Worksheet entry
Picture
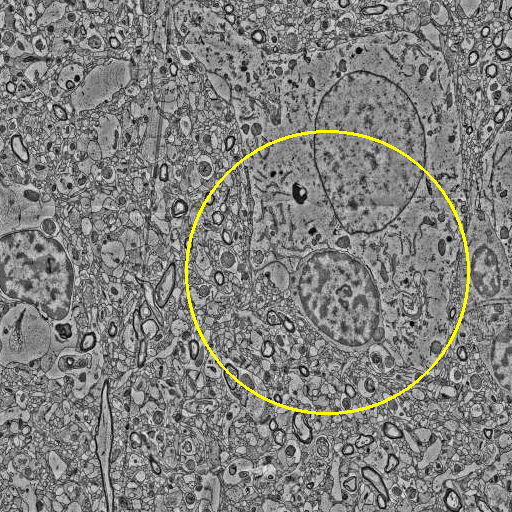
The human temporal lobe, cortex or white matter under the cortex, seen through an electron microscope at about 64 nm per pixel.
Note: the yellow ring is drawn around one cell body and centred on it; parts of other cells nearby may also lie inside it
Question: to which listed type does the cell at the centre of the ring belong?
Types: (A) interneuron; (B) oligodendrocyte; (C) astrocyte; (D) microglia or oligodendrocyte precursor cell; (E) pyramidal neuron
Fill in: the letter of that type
B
